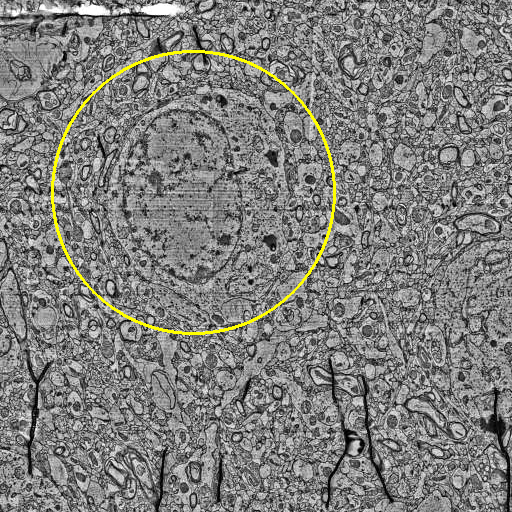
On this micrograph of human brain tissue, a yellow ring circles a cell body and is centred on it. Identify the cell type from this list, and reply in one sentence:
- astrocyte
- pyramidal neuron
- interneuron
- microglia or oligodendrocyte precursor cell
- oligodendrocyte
The cell at the centre is an interneuron.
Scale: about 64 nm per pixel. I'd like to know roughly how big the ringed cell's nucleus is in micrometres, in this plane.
The nucleus comes to roughly 11 by 8 micrometres in this plane.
